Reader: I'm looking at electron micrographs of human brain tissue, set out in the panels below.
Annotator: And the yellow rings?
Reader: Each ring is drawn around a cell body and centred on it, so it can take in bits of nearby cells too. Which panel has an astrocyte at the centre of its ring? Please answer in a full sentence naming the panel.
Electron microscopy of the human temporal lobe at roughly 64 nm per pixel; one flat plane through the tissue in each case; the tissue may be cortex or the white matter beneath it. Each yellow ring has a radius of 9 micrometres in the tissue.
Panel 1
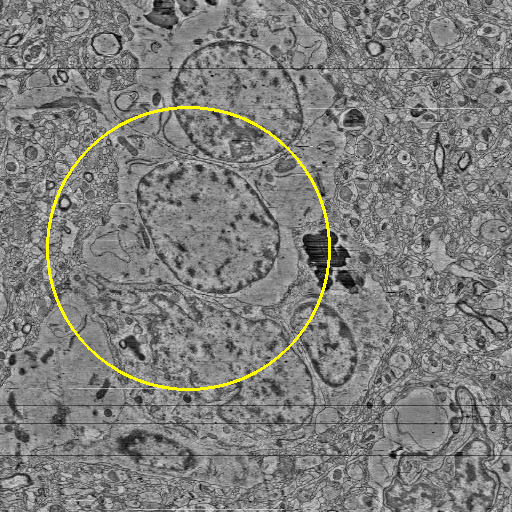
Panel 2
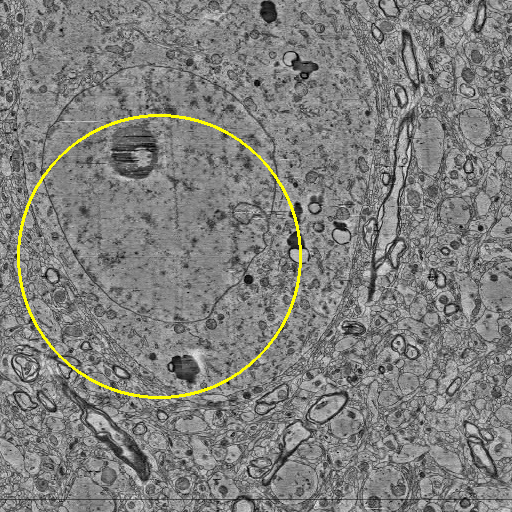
Panel 1 has it at the centre of its ring.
